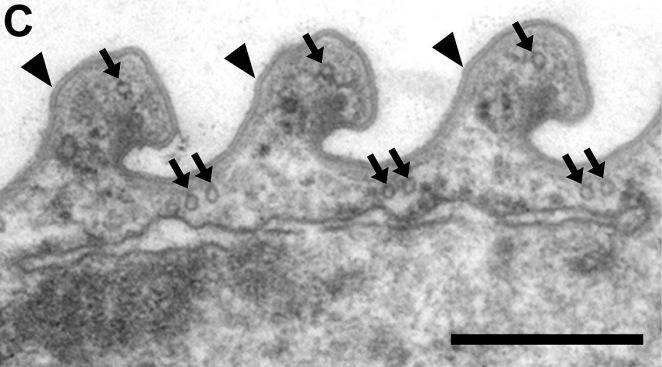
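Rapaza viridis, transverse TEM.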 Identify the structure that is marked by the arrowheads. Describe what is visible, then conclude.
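S-shaped frames of the pellicle strips. Surface ridges in cross-section with a curved, hooked profile. A dense layer lines the outer face of each ridge.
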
